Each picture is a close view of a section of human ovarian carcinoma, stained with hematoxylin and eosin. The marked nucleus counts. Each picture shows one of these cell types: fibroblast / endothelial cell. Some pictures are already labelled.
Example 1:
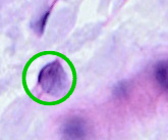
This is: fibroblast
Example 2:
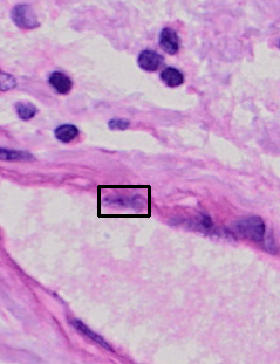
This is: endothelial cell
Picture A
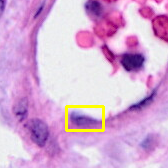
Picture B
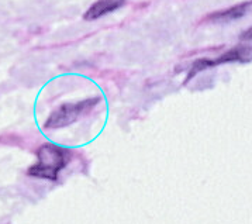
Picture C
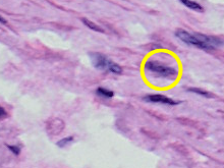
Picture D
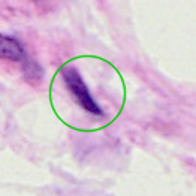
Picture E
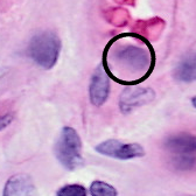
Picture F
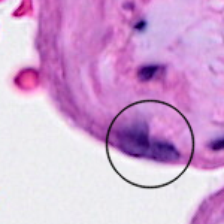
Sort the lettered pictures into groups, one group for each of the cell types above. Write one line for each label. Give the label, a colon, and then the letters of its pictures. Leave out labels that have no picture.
fibroblast: B, C, D
endothelial cell: A, E, F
